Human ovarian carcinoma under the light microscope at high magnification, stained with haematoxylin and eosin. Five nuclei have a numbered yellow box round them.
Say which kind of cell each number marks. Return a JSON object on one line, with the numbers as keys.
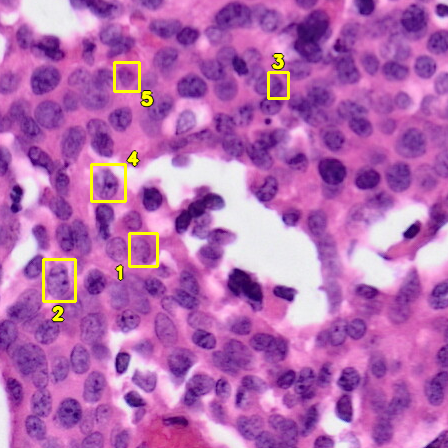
{"1": "carcinoma cell", "2": "macrophage or monocyte", "3": "carcinoma cell", "4": "macrophage or monocyte", "5": "carcinoma cell"}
